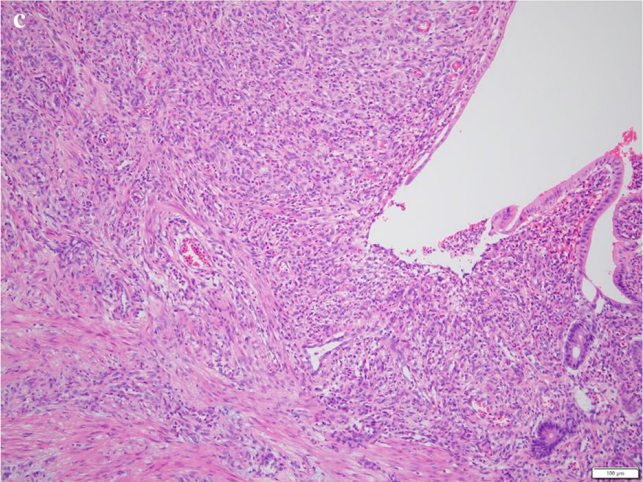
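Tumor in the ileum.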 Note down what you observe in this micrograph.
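A cellular lesion beneath the intestinal surface is composed of densely packed plump oval to spindle-shaped cells with purple nuclei and pink cytoplasm, among which small vascular channels can be made out. A small vessel containing red blood cells lies in the left part of the field, and bundles of paler pink fibrous or smooth muscle tissue run along the lower left. At the lower right, intestinal glands lined by columnar epithelium sit in a cellular lamina propria.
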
